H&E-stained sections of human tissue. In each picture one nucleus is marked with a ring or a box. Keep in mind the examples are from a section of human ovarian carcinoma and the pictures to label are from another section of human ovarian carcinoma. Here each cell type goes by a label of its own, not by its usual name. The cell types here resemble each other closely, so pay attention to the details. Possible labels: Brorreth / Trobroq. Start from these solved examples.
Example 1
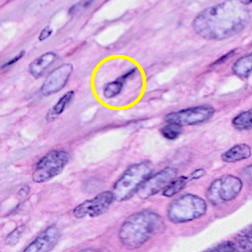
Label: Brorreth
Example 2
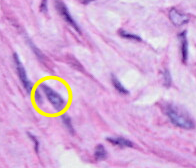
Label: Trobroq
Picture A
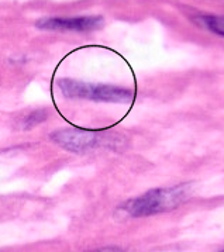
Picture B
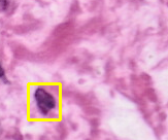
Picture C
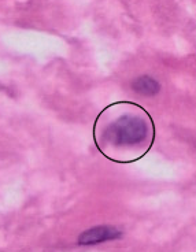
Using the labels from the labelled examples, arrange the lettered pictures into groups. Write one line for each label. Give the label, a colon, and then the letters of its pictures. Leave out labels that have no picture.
Brorreth: B
Trobroq: A, C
